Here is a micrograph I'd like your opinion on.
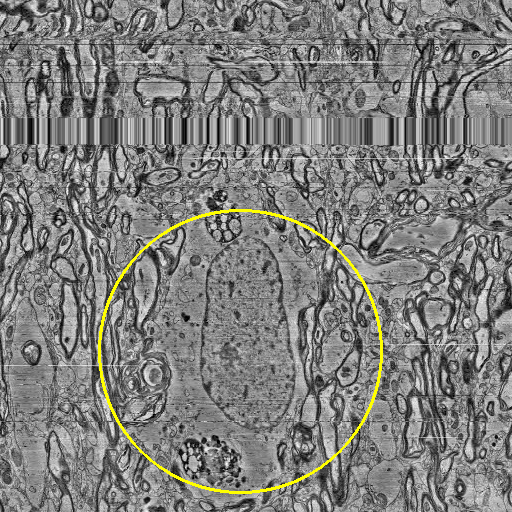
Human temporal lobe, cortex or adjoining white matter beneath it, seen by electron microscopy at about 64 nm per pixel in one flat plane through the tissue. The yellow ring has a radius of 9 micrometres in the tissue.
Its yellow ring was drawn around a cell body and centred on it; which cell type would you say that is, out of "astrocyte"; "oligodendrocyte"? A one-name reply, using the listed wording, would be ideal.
astrocyte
